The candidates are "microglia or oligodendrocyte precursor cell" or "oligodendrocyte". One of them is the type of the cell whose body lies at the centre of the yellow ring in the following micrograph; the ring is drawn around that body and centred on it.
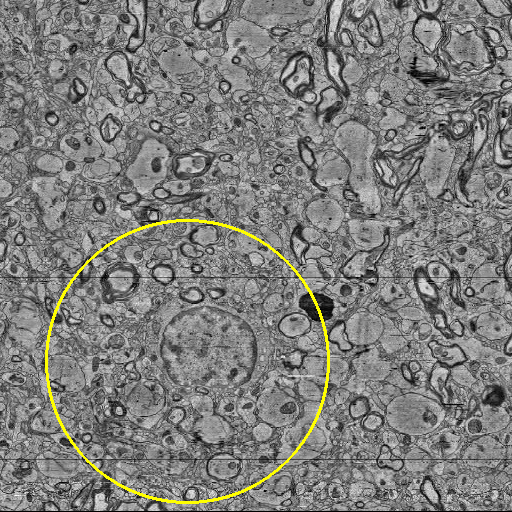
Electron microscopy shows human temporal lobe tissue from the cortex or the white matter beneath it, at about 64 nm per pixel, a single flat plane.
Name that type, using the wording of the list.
oligodendrocyte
